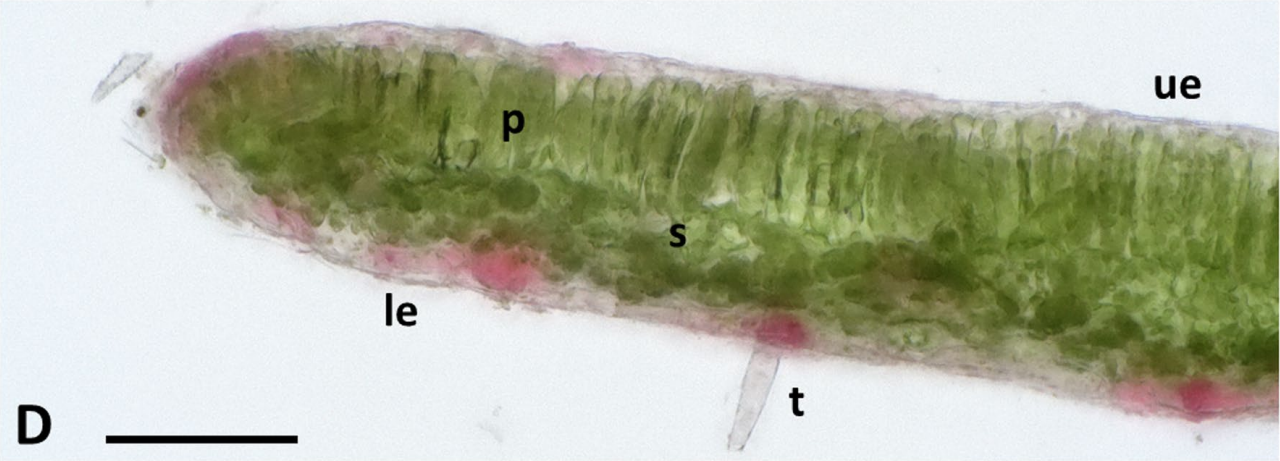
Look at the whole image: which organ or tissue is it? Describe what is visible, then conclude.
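Lamina. A thin, flat blade of tissue that tapers to a rounded edge at the left. Green chlorophyll-bearing tissue lies between two thin, clear surface layers. A tall columnar cell layer lies under one surface and a looser cell layer under the other. Slender hairs project from the surfaces.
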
